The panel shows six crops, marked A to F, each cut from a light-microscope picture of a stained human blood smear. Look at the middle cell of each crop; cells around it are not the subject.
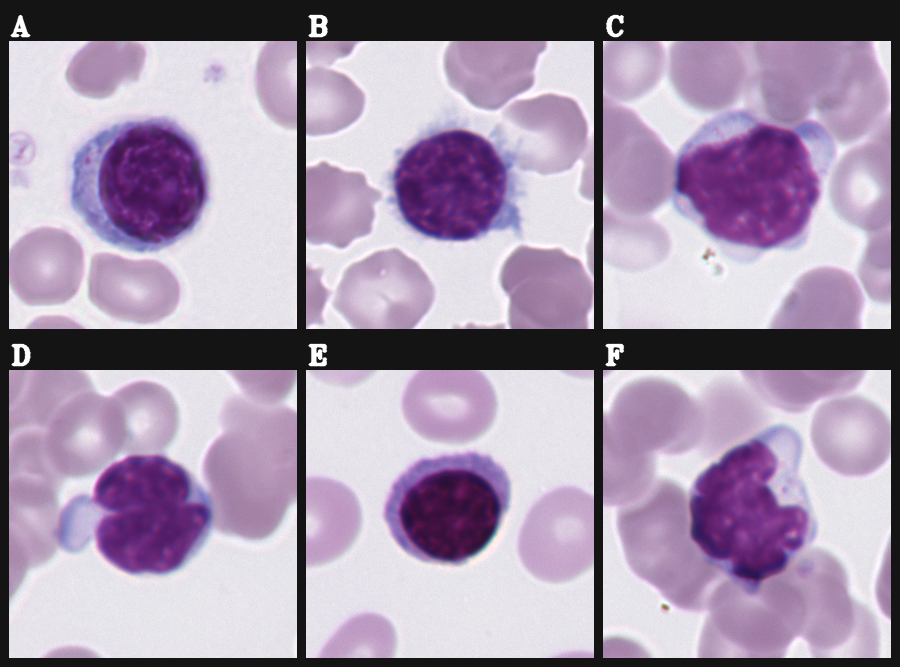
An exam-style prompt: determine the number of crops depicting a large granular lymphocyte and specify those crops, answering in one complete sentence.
Of the crops given, four contain large granular lymphocytes, and these are C, D, E and F.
